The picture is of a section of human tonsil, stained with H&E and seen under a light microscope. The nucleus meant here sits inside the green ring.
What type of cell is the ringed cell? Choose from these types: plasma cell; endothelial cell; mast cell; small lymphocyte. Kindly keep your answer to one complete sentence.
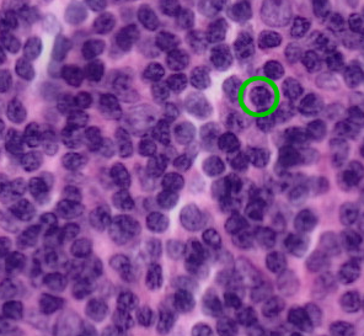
In terms of identity, the ringed cell is a small lymphocyte.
